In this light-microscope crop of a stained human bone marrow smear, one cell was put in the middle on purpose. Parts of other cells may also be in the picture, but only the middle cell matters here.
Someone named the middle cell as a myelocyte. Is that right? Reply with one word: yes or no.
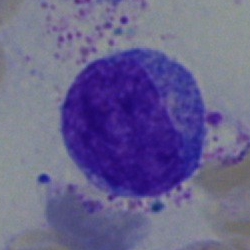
yes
